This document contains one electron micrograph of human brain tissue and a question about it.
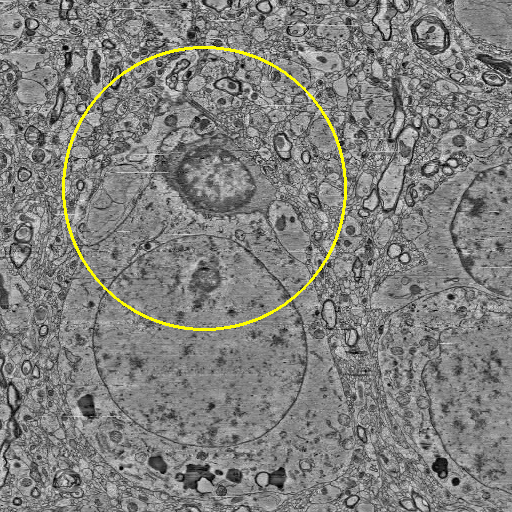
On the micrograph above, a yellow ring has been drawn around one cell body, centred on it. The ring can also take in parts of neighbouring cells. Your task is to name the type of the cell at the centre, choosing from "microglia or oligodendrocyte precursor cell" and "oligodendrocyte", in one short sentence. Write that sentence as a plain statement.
Here the ring is centred on an oligodendrocyte.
